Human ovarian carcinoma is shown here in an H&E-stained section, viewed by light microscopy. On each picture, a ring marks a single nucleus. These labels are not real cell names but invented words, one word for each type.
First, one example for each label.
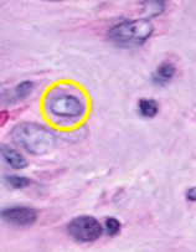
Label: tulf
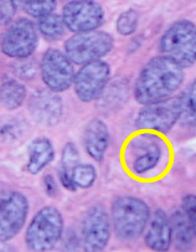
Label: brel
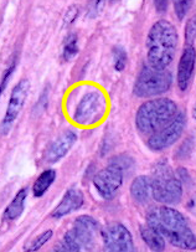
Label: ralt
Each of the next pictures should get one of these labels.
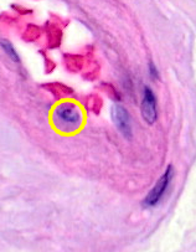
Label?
tulf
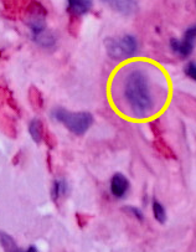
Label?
tulf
